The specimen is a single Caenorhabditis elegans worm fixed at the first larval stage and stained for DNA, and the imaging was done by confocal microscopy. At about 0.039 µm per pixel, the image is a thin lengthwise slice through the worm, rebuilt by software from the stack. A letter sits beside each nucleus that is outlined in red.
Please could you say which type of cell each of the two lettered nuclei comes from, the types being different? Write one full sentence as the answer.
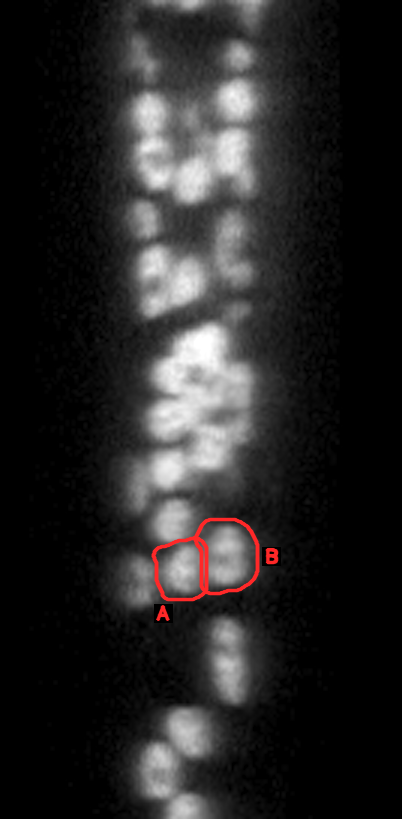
A belongs to a neuron and B to a body wall muscle cell.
